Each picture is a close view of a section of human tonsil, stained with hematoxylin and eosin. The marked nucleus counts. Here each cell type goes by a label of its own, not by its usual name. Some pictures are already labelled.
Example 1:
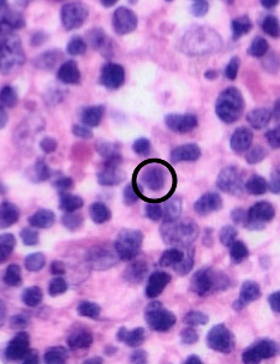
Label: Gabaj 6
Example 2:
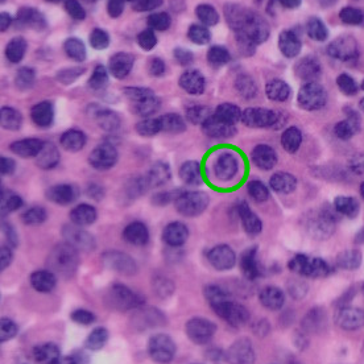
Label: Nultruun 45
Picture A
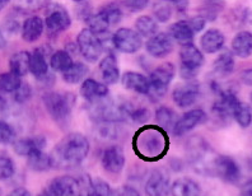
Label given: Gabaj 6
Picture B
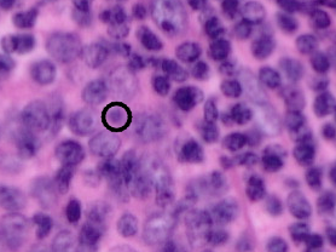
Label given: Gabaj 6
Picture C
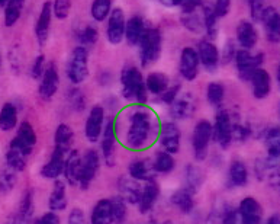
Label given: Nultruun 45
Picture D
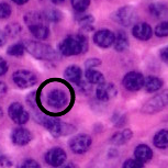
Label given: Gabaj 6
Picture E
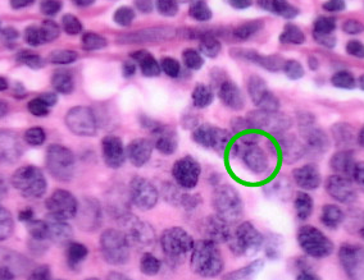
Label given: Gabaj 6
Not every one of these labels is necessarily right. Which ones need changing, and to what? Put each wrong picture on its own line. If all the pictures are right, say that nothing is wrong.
D should be Nultruun 45, not Gabaj 6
